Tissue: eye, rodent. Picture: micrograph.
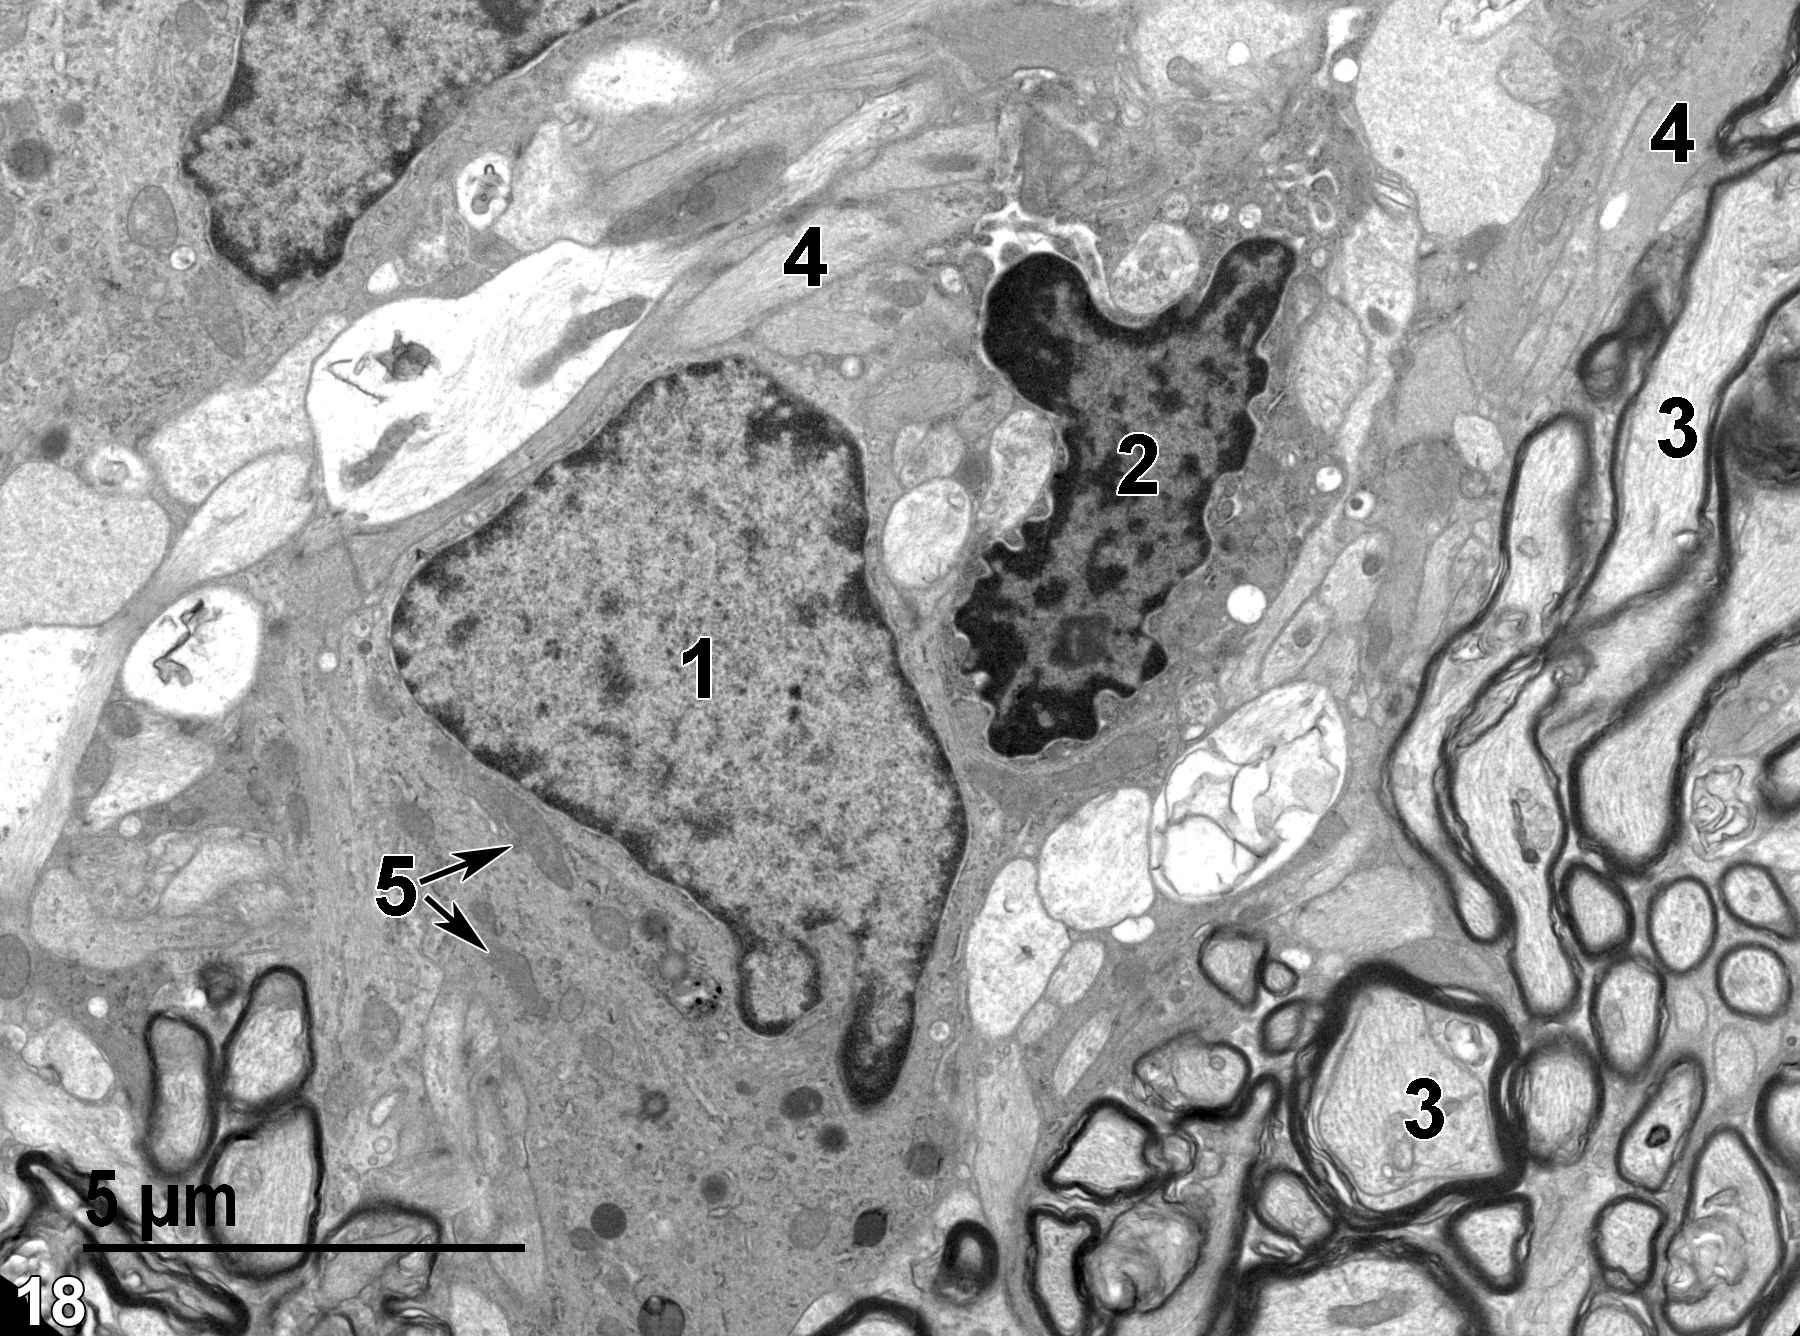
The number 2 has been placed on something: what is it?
The number 2 marks the polymorphic nucleus.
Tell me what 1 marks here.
The number 1 marks the large nucleus.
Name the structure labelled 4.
The number 4 marks the unmyelinated neuronal processes.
